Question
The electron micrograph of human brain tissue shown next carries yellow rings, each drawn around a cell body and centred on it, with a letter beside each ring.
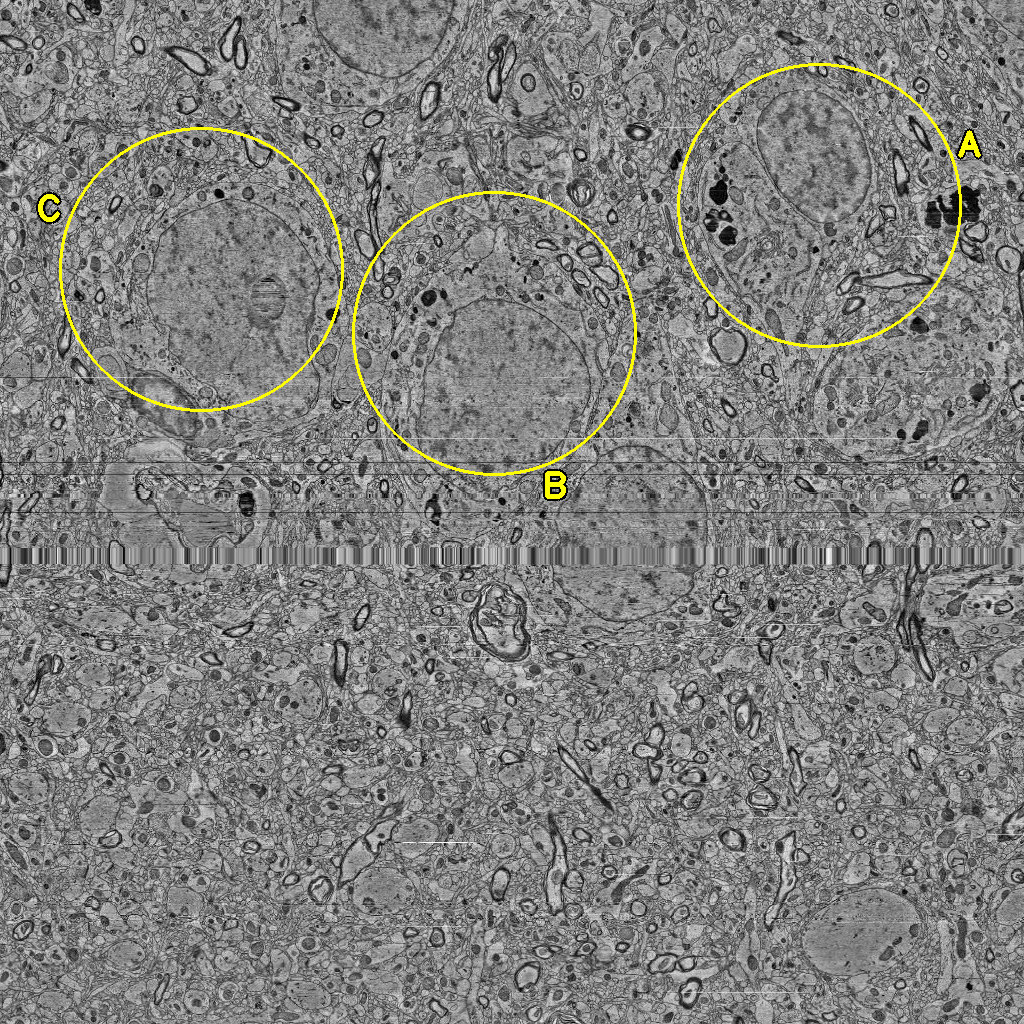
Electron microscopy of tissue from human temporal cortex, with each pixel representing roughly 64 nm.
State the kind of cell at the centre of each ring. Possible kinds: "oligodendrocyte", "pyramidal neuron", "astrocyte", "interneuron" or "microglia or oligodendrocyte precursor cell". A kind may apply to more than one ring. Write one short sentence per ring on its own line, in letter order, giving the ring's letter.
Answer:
The cell centred in ring A is an oligodendrocyte.
The cell centred in ring B is a pyramidal neuron.
The cell centred in ring C is a pyramidal neuron.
